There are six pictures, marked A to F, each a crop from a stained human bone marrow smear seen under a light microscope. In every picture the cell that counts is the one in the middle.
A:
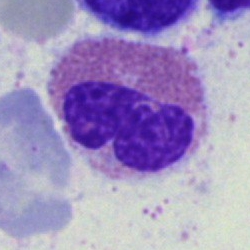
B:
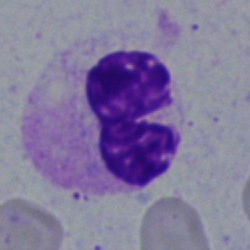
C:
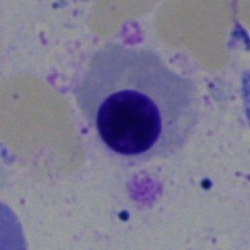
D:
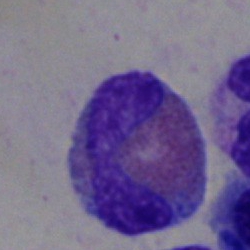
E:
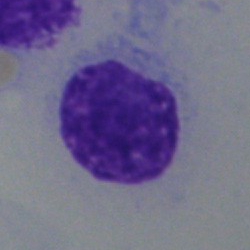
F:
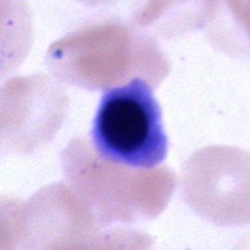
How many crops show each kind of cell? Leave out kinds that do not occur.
eosinophil: 2
erythroblast: 2
segmented neutrophil: 1
hairy cell: 1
